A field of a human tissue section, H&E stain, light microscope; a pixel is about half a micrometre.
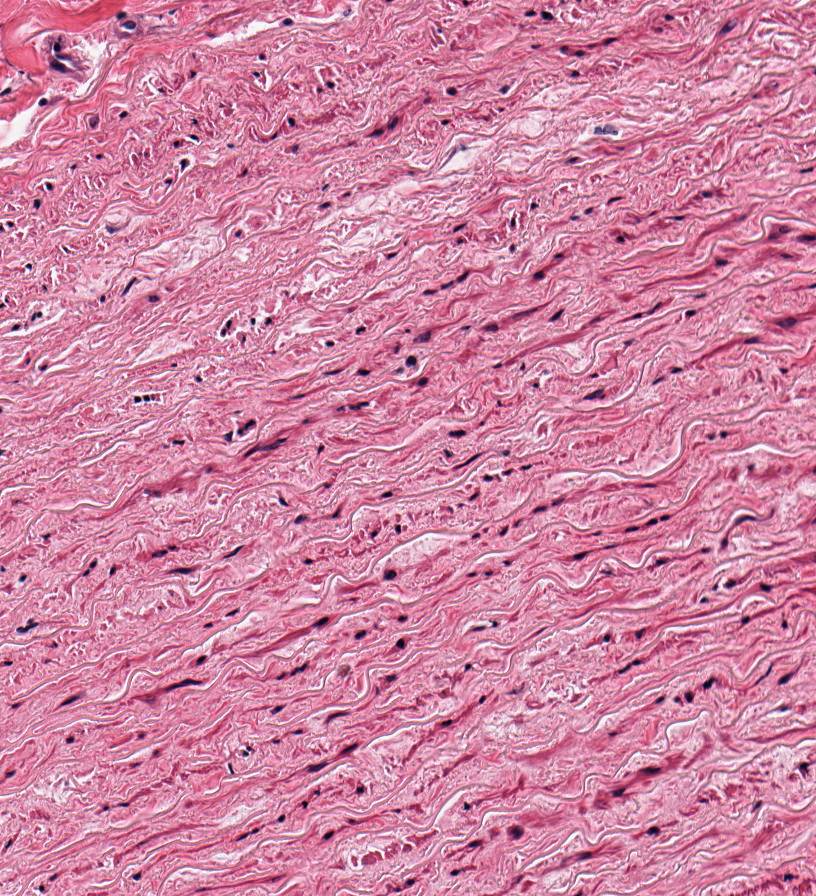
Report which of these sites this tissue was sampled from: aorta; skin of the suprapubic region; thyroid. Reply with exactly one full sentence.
The specimen on this slide came from the aorta.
